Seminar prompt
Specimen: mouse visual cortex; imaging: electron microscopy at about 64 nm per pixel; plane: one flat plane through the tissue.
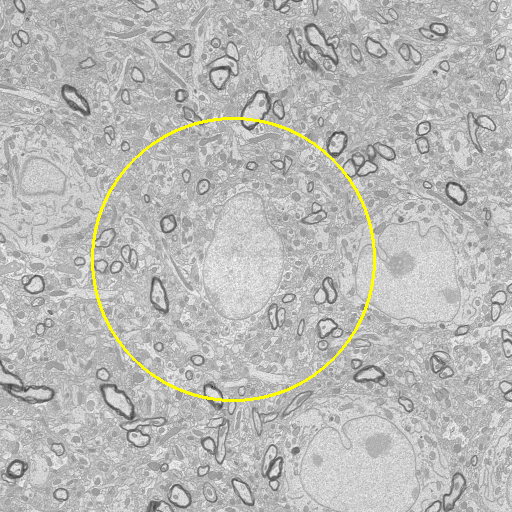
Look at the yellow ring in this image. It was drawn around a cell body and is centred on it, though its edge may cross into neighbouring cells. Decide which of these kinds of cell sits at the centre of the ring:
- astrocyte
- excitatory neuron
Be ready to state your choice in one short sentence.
The kind of cell at the ring's centre is an astrocyte.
